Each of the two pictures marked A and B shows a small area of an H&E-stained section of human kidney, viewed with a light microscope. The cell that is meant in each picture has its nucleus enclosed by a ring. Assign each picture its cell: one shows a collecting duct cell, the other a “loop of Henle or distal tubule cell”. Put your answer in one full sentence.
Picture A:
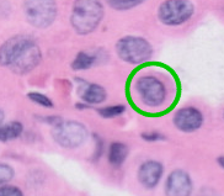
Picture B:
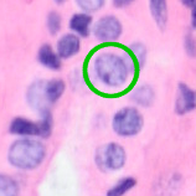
Picture A is of a “loop of Henle or distal tubule cell”, and picture B is of a collecting duct cell.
